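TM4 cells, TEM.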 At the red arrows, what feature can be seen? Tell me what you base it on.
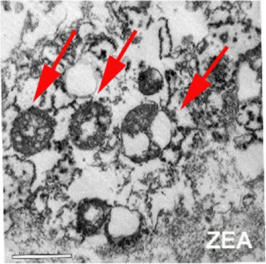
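Several round membrane-bound bodies lie side by side. They contain dense, granular material and small clear spaces. That points to this answer: autophagic vacuoles.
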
